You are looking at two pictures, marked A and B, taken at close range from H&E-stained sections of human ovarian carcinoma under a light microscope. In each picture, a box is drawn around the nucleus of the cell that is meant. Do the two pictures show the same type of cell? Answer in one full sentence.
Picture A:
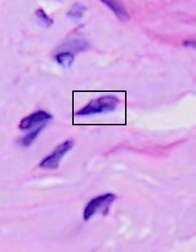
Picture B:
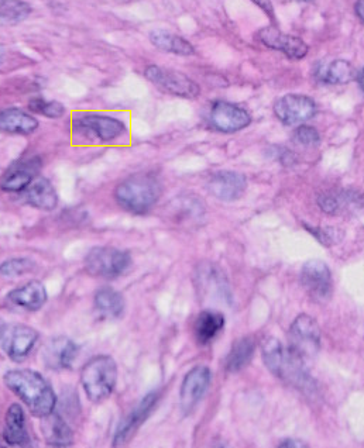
Yes, both cells are fibroblasts.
